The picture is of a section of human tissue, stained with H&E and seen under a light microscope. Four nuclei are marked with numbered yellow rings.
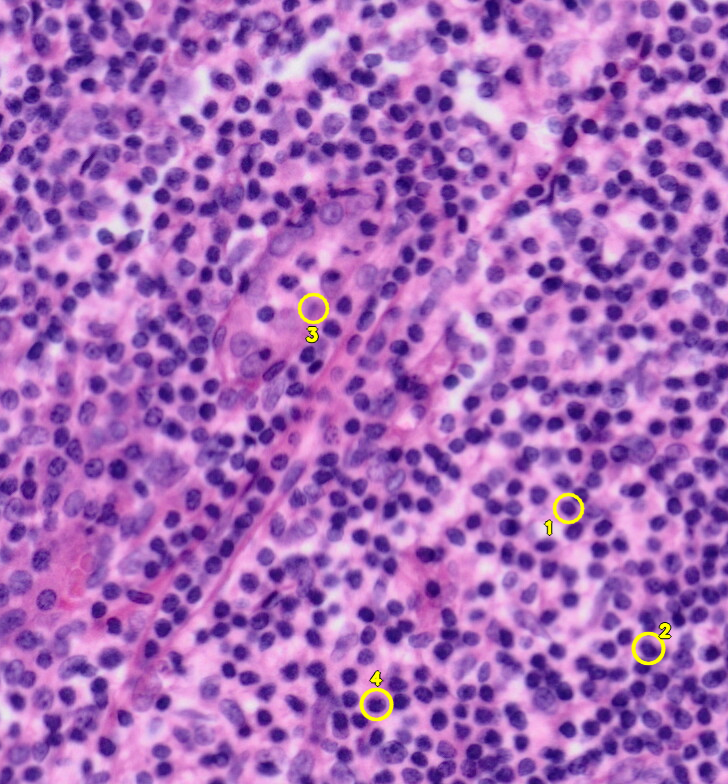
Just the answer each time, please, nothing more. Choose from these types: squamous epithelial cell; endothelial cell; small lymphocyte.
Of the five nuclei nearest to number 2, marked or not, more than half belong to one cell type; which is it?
small lymphocyte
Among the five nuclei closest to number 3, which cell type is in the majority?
endothelial cell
